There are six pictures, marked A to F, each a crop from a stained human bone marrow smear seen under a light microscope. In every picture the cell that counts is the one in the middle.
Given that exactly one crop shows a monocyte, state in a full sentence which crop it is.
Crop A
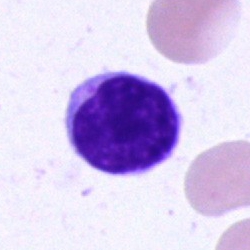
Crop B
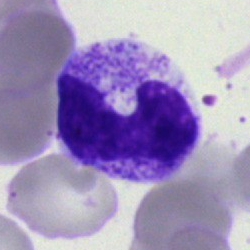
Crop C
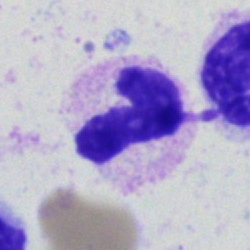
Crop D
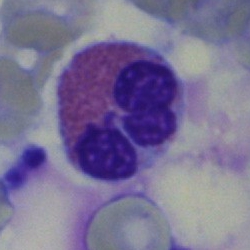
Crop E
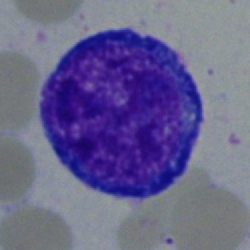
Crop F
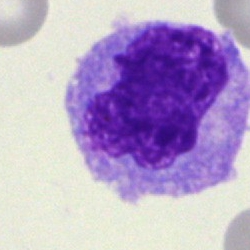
The crop with a monocyte in it is crop F.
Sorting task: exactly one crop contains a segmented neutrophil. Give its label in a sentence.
Only in crop C is a segmented neutrophil shown.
